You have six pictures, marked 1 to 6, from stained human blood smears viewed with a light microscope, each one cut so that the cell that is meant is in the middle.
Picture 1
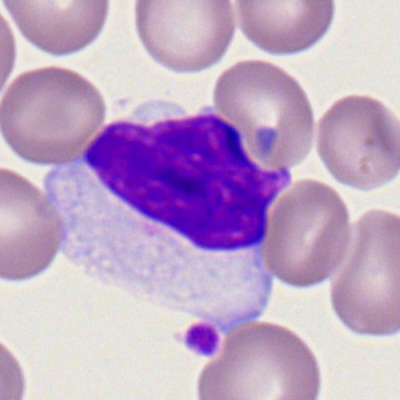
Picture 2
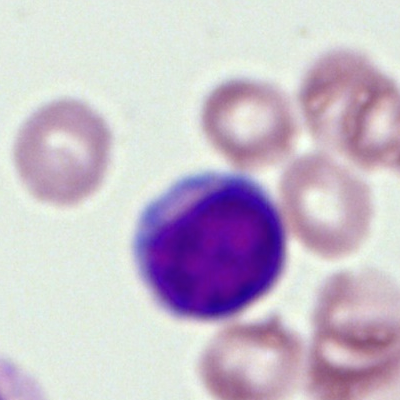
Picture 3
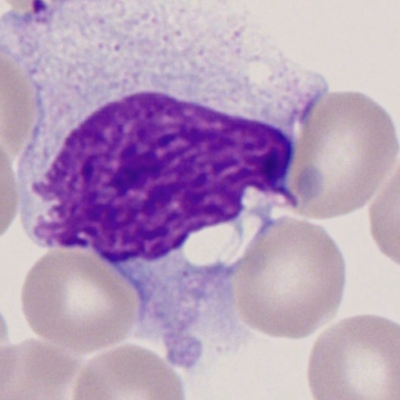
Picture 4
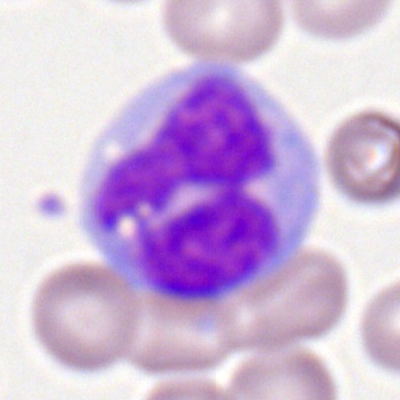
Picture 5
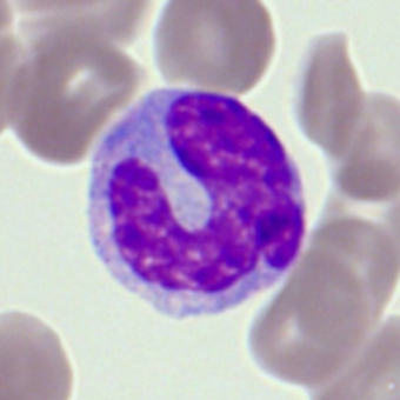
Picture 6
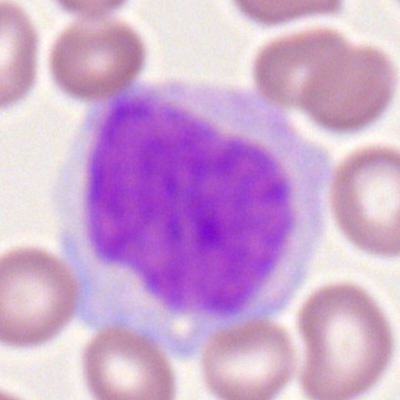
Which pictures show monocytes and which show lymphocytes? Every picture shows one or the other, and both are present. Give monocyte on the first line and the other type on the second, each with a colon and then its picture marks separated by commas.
monocyte: 3, 4, 5, 6
lymphocyte: 1, 2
